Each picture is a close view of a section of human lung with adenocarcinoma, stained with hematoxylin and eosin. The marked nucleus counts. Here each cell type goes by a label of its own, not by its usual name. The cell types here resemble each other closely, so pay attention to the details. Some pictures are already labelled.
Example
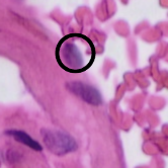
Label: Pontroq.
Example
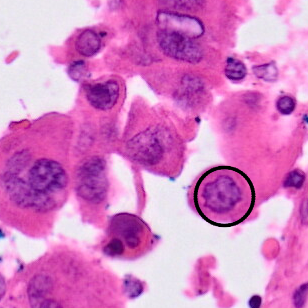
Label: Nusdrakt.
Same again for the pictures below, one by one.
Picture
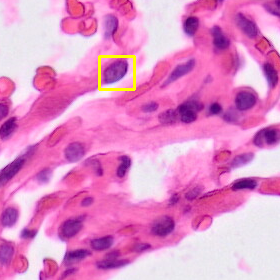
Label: Pontroq.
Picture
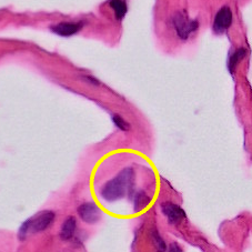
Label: Pontroq.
